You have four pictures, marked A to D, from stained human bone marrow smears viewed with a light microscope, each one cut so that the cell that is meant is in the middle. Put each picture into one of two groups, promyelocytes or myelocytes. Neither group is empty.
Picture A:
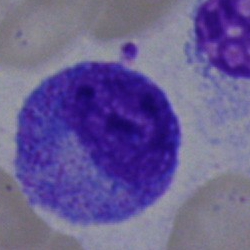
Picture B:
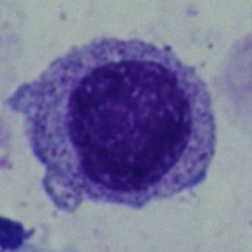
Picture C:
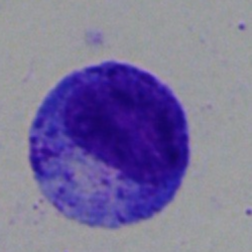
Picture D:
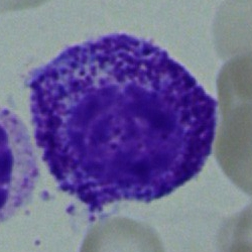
A: promyelocyte
B: myelocyte
C: myelocyte
D: promyelocyte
